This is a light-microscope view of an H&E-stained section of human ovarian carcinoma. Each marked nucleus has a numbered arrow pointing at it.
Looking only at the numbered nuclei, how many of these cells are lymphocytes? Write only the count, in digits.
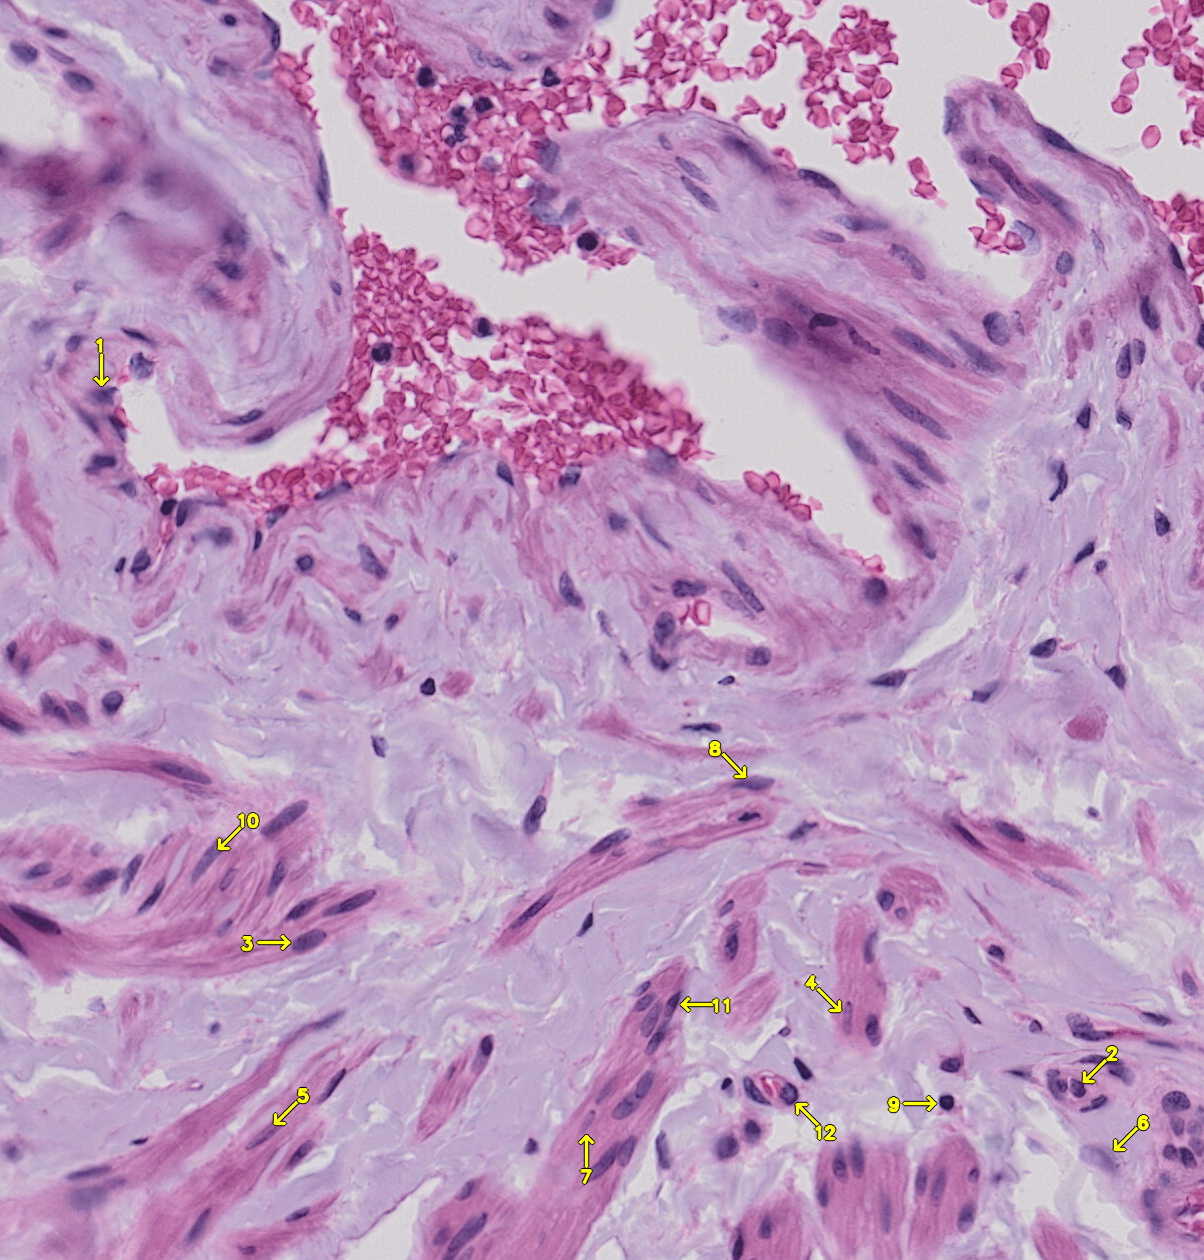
1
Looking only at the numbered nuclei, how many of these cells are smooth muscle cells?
7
